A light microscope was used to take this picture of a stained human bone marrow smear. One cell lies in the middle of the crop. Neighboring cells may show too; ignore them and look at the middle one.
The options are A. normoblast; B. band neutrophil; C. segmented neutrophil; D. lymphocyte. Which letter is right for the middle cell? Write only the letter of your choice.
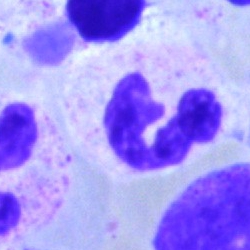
C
